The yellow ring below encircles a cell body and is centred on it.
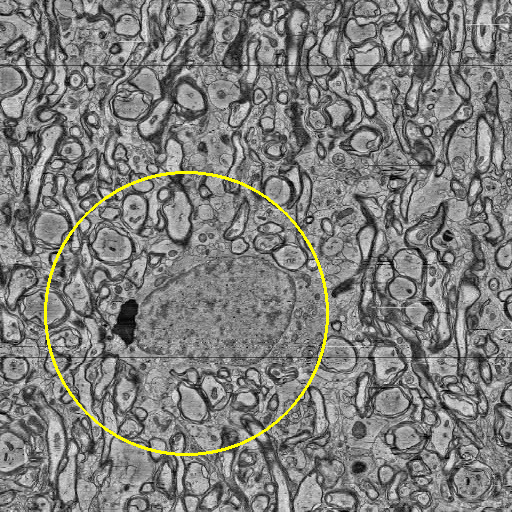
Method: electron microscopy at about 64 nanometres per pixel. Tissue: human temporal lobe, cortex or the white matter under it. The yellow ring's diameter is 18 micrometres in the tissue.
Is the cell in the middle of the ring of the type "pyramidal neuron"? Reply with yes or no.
no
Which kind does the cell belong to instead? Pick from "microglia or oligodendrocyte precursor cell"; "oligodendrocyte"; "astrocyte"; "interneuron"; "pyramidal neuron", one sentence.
The ringed cell in this picture is, instead, an oligodendrocyte.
